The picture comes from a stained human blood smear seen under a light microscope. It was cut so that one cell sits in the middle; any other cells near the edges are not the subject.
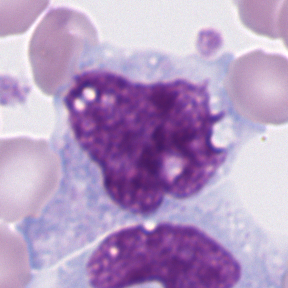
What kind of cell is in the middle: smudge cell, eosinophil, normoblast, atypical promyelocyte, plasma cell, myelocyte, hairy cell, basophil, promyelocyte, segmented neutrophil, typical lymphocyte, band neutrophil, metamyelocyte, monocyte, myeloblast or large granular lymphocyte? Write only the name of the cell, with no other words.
monocyte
